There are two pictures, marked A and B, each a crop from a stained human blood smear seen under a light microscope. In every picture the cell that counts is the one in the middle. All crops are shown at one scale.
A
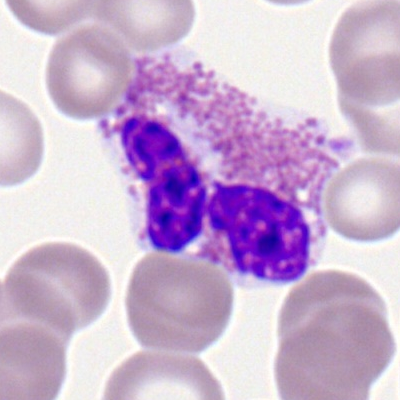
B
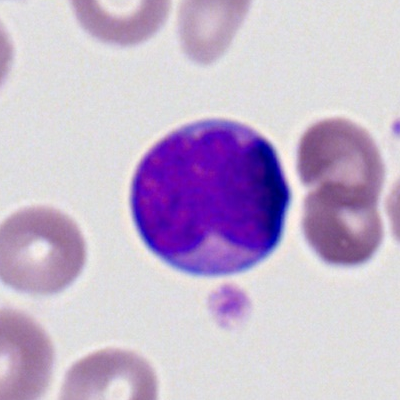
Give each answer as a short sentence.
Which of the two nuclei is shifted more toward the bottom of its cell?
Seen within its cell, the nucleus in crop A lies further toward the bottom.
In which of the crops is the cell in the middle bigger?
Larger is the cell in crop A, at roughly 1.5 times the area of the other.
